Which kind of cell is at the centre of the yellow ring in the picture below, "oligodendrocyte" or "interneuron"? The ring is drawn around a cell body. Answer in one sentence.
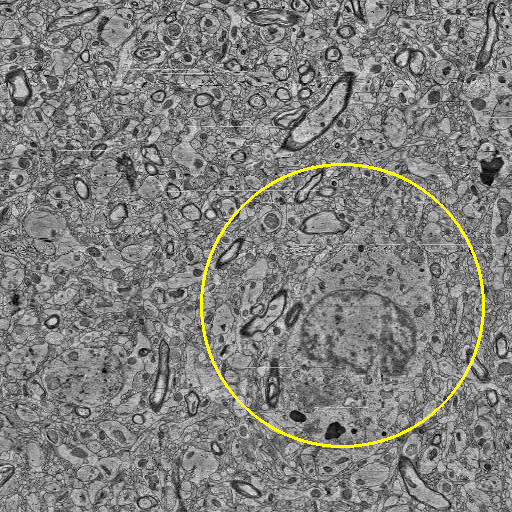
The ring's central cell is an interneuron.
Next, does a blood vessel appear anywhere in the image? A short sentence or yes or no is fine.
No, a blood vessel is absent from this picture.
